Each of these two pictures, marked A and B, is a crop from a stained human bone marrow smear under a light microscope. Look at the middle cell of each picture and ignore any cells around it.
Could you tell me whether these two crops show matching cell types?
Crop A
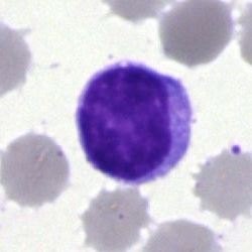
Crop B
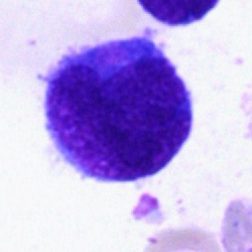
no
